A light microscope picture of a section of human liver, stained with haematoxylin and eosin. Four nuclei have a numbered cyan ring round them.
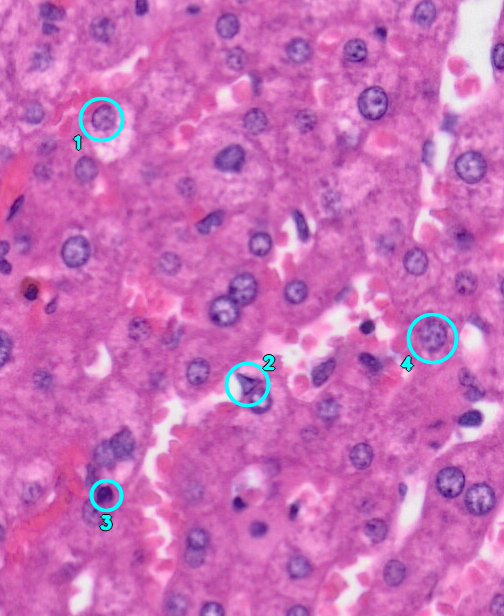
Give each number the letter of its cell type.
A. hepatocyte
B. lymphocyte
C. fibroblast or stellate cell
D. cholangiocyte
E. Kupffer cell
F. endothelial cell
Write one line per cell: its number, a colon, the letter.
1: A
2: F
3: C
4: A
